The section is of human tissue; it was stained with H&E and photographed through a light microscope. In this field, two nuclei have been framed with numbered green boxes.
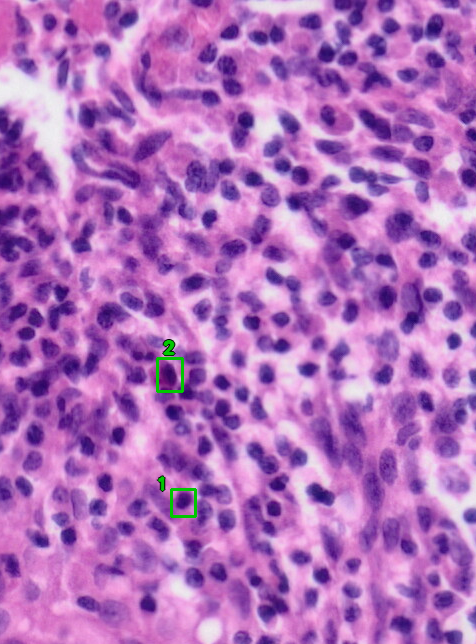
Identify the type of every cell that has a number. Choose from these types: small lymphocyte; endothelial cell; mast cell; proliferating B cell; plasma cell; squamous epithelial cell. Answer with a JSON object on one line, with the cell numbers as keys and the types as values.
{"1": "squamous epithelial cell", "2": "plasma cell"}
